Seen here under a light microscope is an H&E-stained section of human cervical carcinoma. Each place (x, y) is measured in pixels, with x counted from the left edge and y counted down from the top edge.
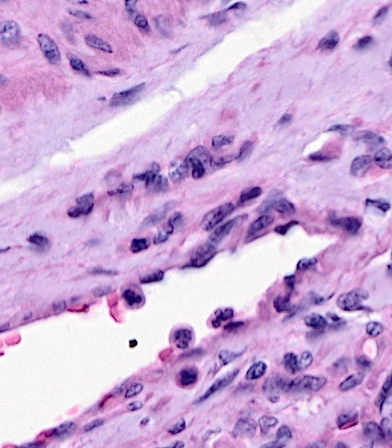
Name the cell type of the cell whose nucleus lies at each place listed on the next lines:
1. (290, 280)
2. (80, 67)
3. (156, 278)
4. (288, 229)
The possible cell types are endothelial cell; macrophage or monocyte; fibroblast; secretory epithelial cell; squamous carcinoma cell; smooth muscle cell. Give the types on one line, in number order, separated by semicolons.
endothelial cell; smooth muscle cell; endothelial cell; endothelial cell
